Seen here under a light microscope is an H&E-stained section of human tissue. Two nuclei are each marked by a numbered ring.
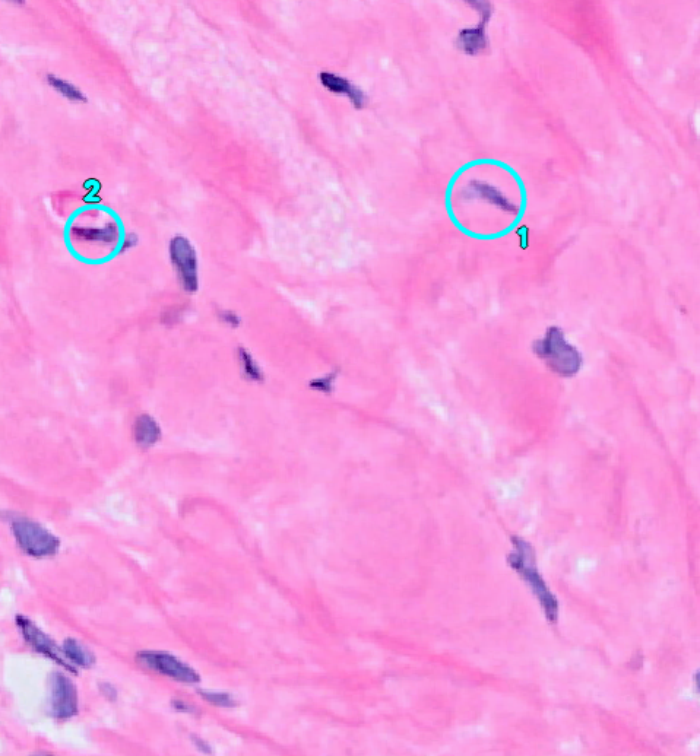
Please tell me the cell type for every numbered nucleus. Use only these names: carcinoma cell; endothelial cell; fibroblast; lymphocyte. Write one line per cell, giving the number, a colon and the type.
1: fibroblast
2: endothelial cell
